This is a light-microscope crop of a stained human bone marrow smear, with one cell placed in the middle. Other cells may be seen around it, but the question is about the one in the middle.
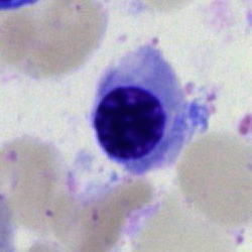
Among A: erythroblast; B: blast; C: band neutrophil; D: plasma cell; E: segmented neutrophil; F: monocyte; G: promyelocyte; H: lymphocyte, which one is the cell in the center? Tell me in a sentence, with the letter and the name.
Here the right option is A, as the cell in the middle is an erythroblast.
